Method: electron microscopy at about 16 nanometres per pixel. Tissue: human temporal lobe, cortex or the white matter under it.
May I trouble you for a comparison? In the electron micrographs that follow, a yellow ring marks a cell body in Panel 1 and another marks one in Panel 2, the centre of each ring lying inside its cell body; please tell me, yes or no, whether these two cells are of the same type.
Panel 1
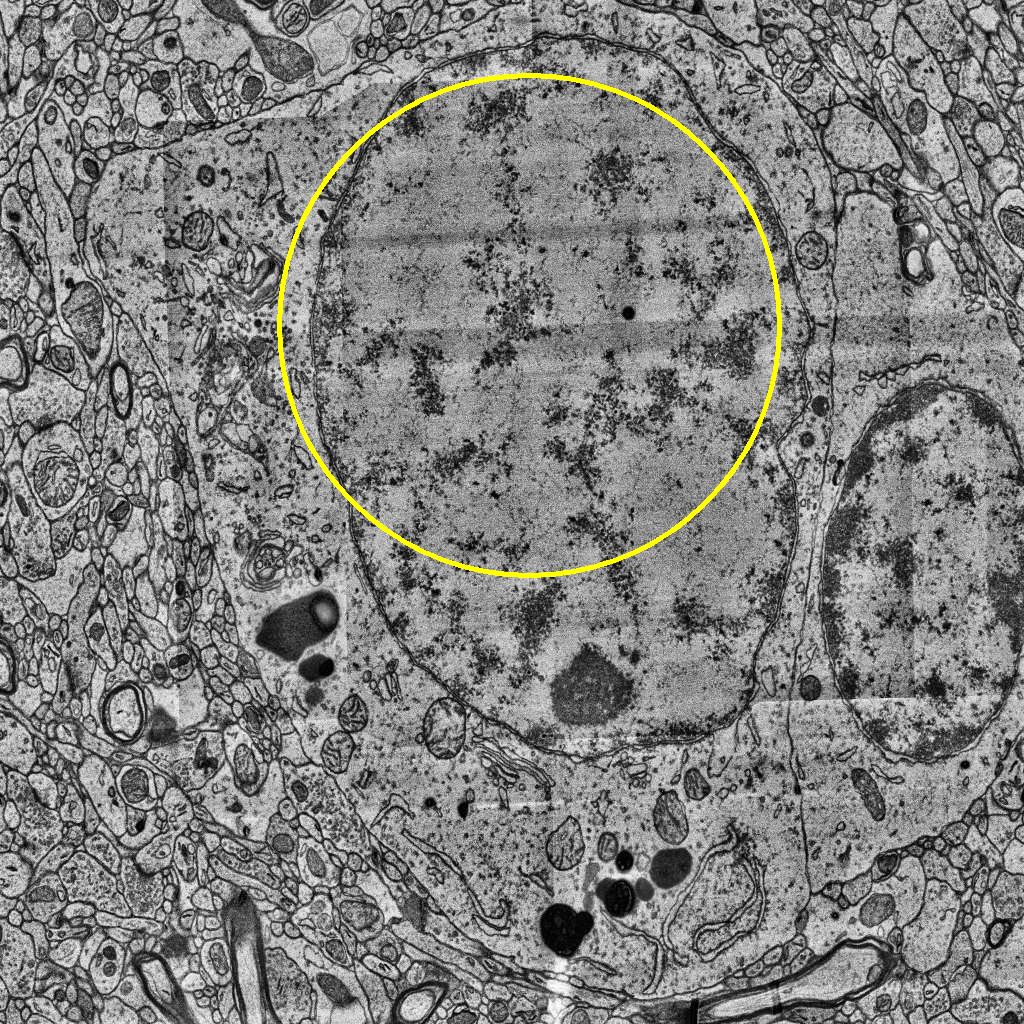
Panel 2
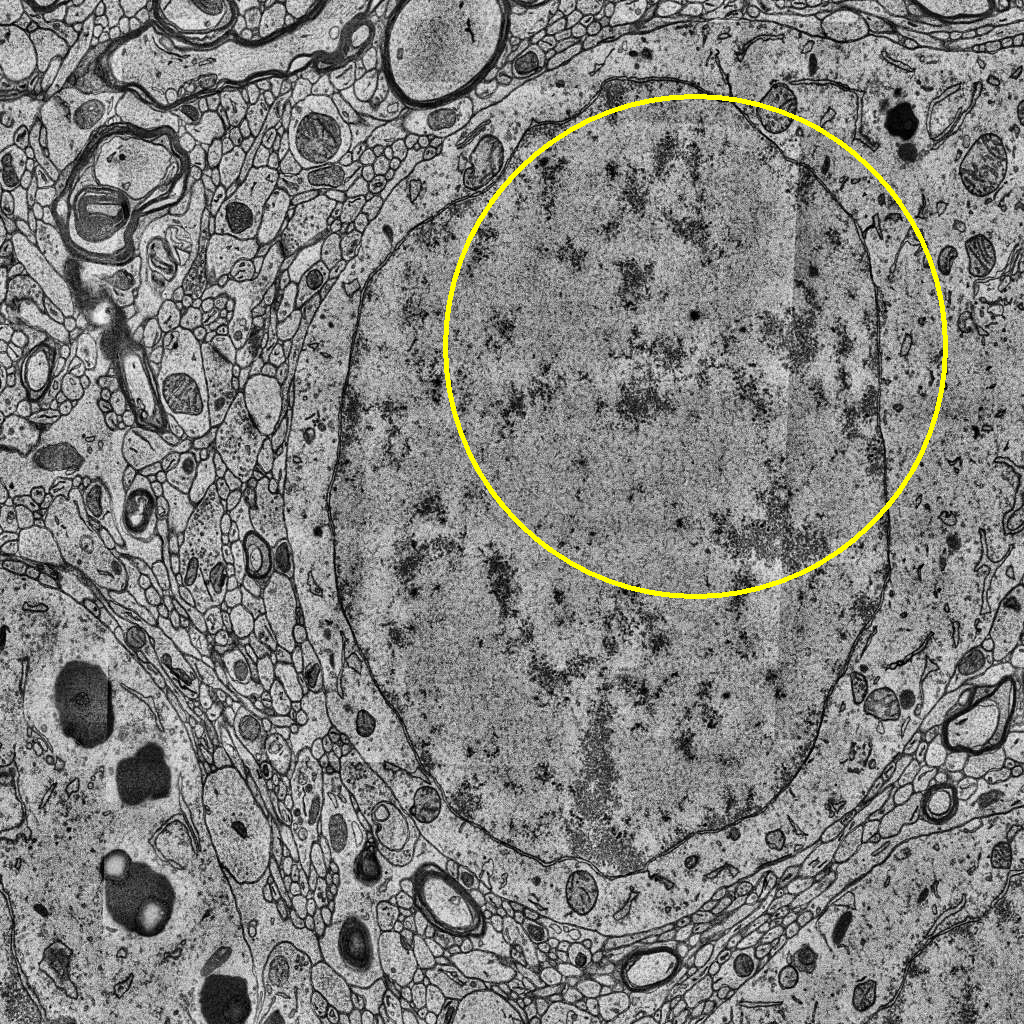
yes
